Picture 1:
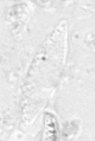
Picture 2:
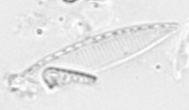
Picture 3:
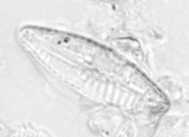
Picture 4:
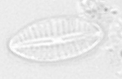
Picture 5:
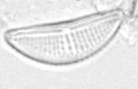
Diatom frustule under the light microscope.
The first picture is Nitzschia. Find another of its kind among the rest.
Picture 2.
